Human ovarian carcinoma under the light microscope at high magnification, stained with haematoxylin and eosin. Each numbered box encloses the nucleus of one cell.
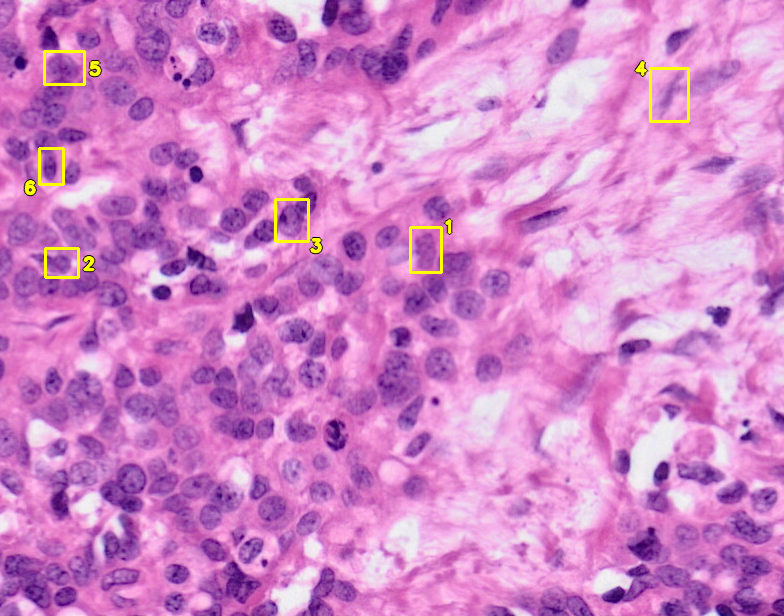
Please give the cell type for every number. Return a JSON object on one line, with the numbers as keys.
{"1": "carcinoma cell", "2": "carcinoma cell", "3": "carcinoma cell", "4": "fibroblast", "5": "carcinoma cell", "6": "macrophage or monocyte"}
